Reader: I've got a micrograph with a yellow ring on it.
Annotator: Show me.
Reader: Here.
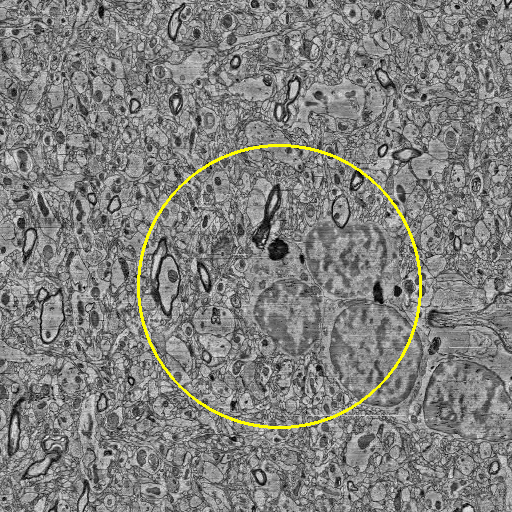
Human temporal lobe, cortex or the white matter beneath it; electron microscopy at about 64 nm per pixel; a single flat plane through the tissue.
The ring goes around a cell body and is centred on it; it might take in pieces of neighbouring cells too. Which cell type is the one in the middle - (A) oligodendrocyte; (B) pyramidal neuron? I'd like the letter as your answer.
A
